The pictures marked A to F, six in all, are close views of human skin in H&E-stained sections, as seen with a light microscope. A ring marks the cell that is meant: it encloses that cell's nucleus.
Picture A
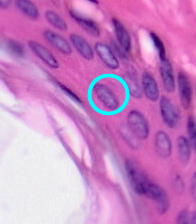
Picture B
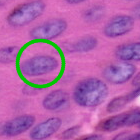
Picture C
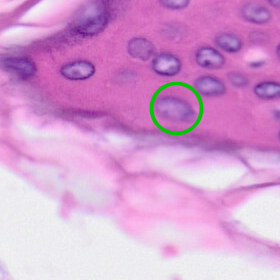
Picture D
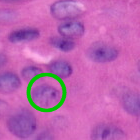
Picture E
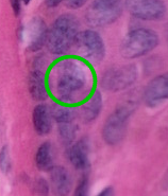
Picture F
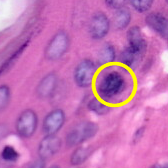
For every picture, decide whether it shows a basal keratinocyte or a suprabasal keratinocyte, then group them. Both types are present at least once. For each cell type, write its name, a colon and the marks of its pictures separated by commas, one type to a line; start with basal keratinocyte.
basal keratinocyte: E, F
suprabasal keratinocyte: A, B, C, D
